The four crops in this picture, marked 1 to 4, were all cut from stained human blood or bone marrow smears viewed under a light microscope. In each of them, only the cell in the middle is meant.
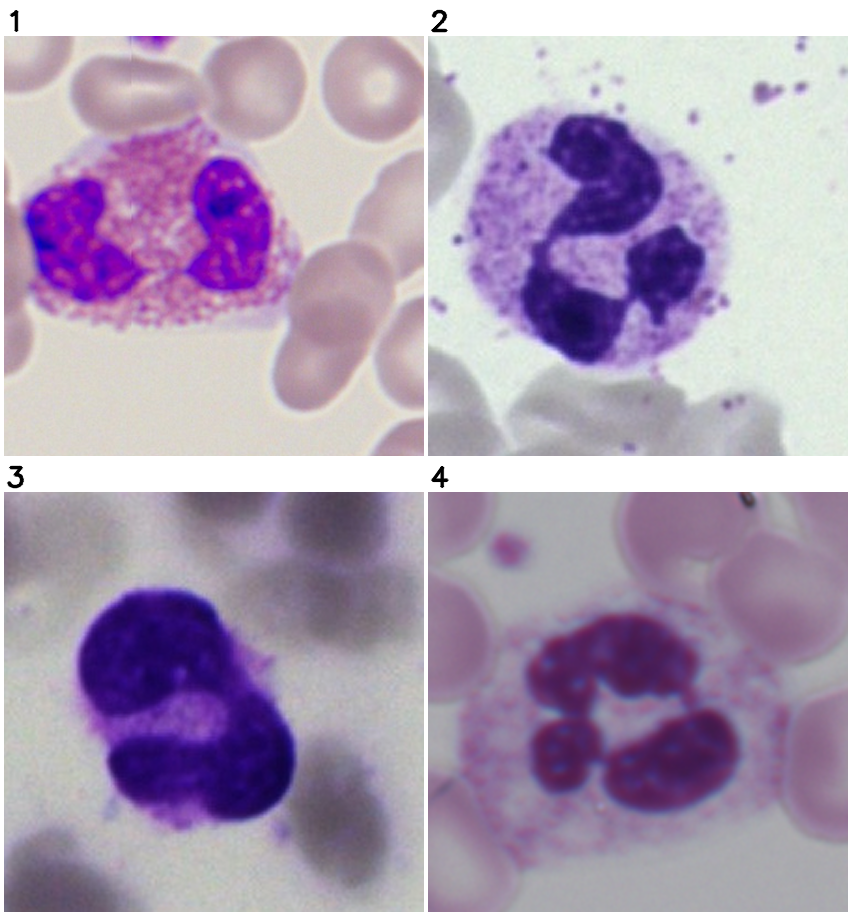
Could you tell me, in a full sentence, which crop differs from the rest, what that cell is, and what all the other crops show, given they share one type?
Differing from the rest, crop 1 shows an eosinophil; the others all show segmented neutrophils.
